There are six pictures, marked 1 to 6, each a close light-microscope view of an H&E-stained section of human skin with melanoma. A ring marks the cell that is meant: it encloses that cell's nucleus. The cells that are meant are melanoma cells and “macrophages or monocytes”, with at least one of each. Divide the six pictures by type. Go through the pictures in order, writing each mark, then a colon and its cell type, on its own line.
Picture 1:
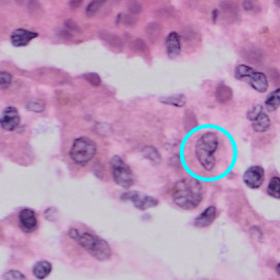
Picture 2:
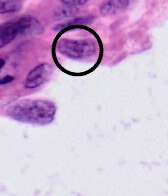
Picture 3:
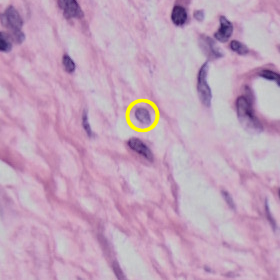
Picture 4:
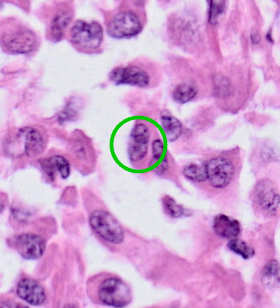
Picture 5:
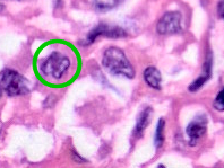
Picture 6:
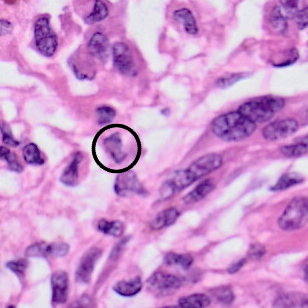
1: macrophage or monocyte
2: melanoma cell
3: macrophage or monocyte
4: melanoma cell
5: melanoma cell
6: macrophage or monocyte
